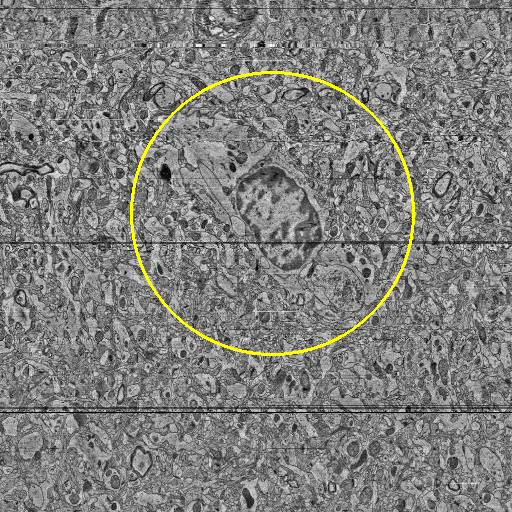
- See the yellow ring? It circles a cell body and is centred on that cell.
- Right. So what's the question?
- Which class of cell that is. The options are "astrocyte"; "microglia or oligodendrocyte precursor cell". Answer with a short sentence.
The centre of the ring holds a microglial cell or oligodendrocyte precursor cell.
